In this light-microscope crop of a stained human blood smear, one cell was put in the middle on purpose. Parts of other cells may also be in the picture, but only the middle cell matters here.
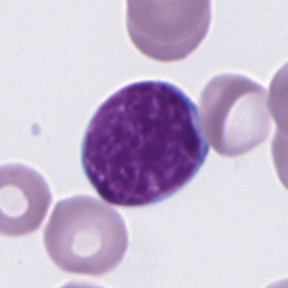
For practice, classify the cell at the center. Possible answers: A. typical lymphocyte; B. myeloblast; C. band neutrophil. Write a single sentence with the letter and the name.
Occupying the middle of the crop is a typical lymphocyte, hence option A is correct.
